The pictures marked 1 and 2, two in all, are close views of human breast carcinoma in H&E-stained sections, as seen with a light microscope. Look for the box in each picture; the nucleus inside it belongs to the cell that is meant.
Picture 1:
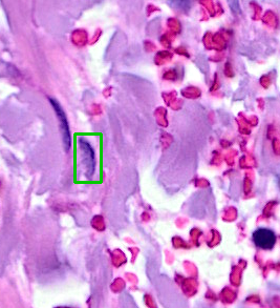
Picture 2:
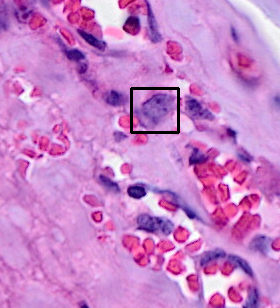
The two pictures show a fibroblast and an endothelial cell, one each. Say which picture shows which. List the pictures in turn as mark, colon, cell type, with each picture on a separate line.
1: fibroblast
2: endothelial cell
